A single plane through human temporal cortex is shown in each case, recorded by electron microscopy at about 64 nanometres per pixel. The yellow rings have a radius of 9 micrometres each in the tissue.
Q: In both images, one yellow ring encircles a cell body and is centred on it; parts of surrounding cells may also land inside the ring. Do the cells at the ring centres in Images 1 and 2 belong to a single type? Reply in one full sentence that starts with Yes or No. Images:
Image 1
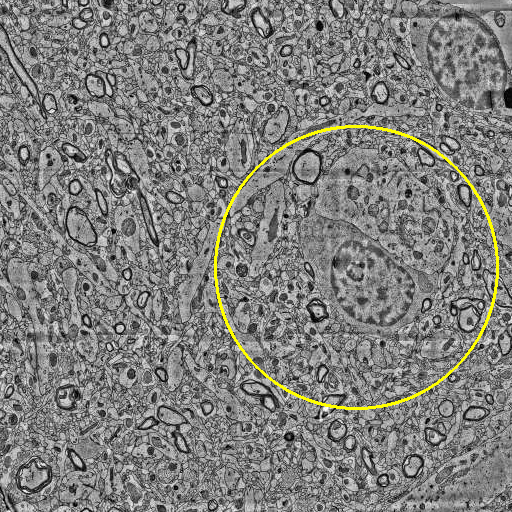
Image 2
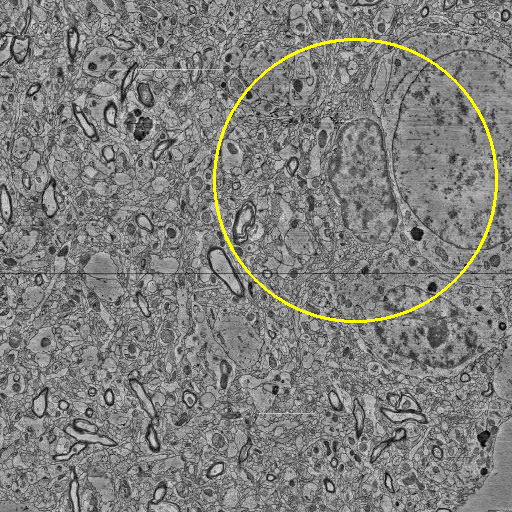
Yes, the cells at the ring centres in Images 1 and 2 are of a single type.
